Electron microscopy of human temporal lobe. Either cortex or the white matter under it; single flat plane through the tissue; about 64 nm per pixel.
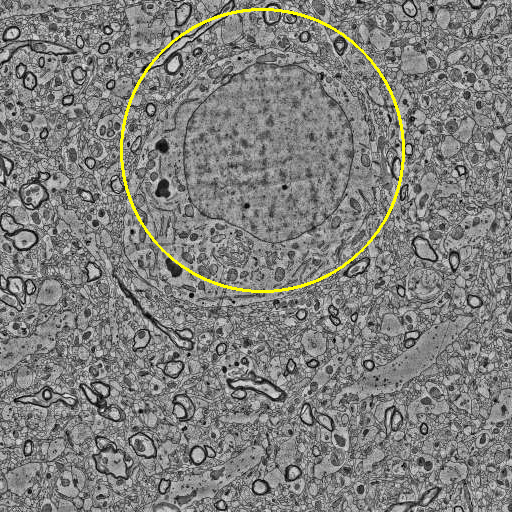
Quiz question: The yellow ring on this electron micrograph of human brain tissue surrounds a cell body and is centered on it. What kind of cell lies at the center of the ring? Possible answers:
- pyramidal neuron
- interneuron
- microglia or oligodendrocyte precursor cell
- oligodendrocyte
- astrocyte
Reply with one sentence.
The ring's center lies on an interneuron.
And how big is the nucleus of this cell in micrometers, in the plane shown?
The ringed cell's nucleus is about 11 micrometres across in this plane.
